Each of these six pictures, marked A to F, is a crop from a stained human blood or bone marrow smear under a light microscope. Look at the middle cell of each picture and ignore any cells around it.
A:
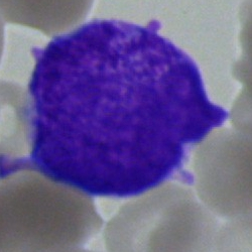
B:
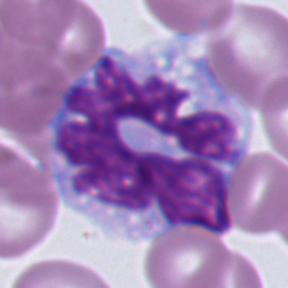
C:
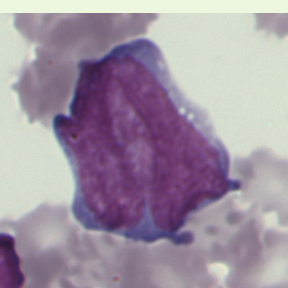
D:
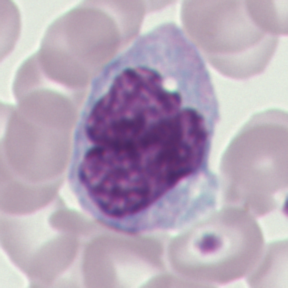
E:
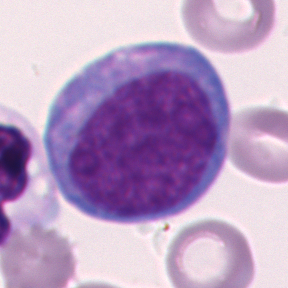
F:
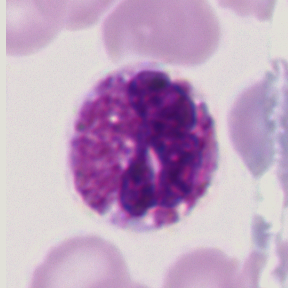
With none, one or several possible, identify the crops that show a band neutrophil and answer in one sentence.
The central cells of the crops do not include a band neutrophil.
